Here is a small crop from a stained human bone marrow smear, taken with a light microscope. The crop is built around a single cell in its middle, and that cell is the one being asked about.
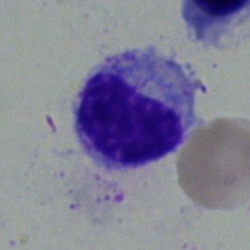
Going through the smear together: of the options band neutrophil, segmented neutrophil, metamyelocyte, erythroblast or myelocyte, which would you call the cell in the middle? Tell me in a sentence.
The cell in the exact centre of the crop is a myelocyte.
